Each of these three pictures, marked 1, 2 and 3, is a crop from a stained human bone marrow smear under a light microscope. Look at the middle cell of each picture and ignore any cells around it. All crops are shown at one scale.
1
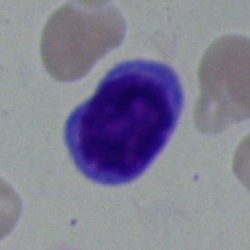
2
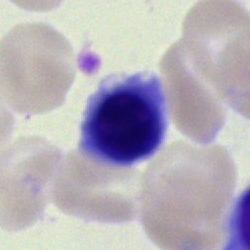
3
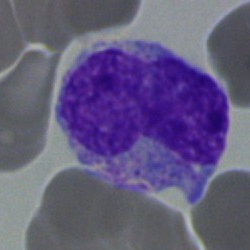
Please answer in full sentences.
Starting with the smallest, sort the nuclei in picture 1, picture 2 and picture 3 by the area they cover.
From the smallest up, the order is 2, 1, 3.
